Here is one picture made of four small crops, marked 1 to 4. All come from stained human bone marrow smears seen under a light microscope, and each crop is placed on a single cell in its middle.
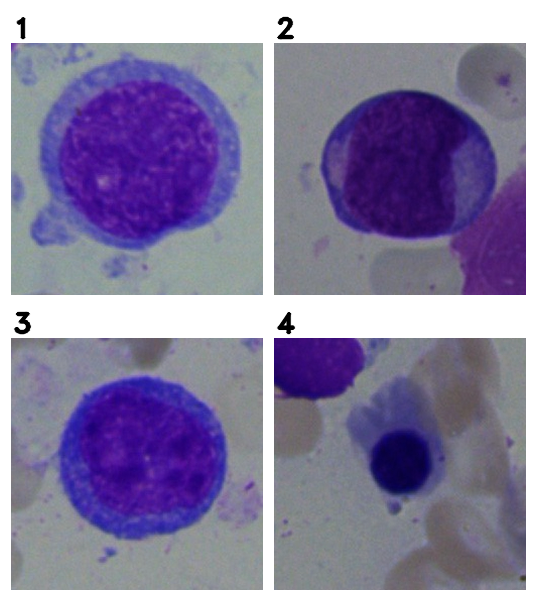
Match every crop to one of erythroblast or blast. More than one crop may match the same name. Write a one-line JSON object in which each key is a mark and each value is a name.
{"1": "blast", "2": "blast", "3": "blast", "4": "erythroblast"}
